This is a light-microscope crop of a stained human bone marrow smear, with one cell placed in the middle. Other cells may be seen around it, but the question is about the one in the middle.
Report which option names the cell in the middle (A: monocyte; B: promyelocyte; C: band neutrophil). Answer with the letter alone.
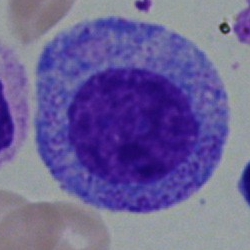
B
